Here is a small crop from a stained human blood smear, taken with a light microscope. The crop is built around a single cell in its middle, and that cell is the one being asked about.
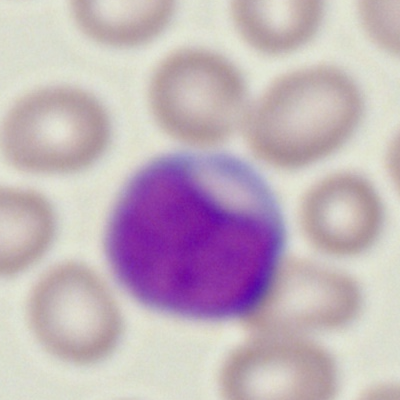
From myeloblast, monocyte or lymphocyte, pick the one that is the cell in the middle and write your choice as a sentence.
The cell at the heart of this crop is a myeloblast.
